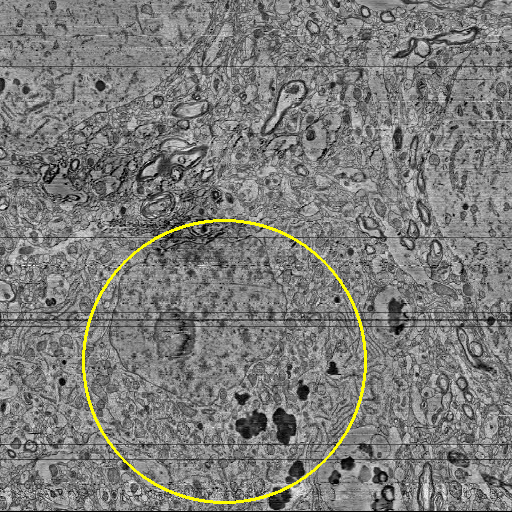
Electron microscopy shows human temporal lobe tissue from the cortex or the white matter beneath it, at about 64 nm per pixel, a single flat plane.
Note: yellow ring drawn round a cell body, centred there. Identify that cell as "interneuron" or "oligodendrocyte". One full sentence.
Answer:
The cell in the middle of the ring is an interneuron.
